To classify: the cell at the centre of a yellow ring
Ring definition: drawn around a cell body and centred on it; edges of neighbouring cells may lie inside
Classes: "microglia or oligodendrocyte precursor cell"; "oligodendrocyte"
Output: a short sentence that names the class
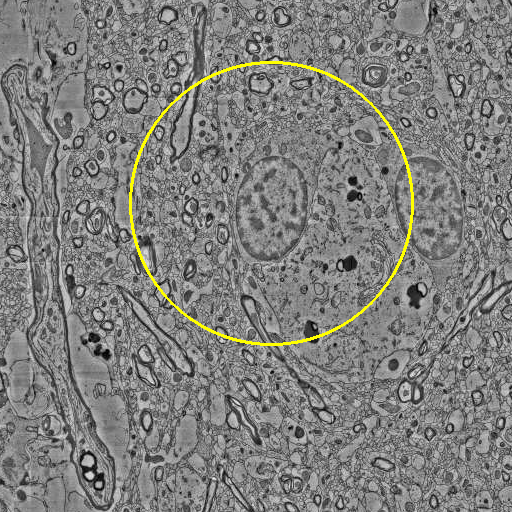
The ringed cell is an oligodendrocyte.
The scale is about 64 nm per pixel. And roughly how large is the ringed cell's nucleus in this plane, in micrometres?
Roughly 7 micrometres by 5 micrometres, in this plane.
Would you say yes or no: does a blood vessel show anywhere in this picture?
Yes.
